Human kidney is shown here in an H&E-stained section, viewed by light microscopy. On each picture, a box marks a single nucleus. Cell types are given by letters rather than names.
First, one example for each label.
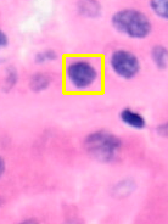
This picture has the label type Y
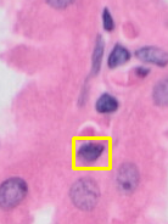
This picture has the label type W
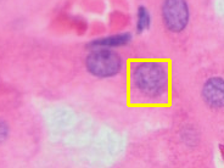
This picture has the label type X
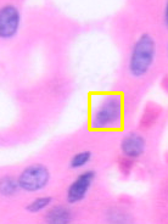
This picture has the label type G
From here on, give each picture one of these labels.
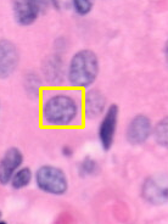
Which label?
type G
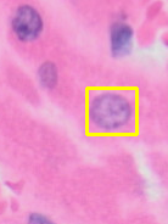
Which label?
type X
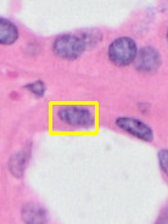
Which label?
type Y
